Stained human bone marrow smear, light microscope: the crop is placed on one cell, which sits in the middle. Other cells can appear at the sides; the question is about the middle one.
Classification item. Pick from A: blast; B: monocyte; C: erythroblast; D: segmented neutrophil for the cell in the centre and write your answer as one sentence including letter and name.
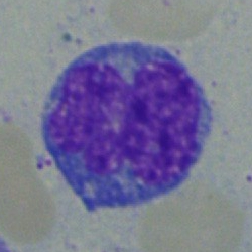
Option B is correct, naming the cell in the middle as a monocyte.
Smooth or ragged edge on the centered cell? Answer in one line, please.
The cytoplasmic margin is uneven, whether through ragged segments or through projections.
